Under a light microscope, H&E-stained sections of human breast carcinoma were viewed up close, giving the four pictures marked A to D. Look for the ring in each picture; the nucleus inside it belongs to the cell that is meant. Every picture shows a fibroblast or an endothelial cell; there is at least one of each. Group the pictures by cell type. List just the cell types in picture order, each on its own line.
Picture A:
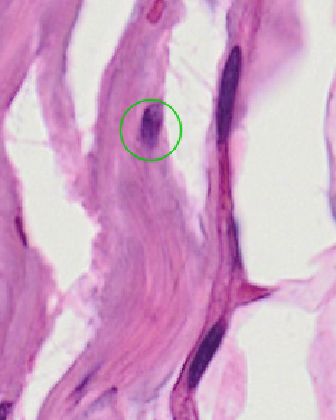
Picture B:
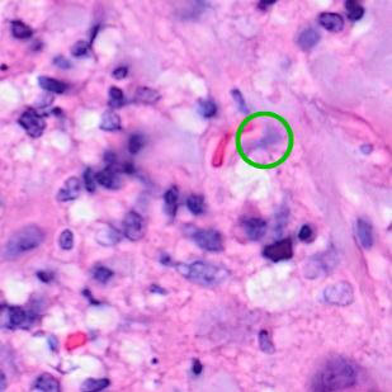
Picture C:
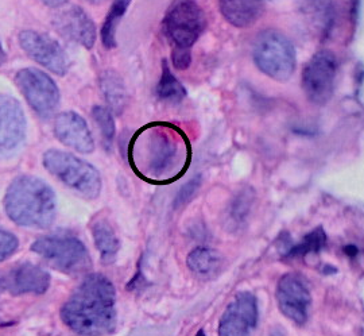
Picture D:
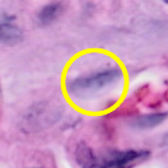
fibroblast
endothelial cell
endothelial cell
endothelial cell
